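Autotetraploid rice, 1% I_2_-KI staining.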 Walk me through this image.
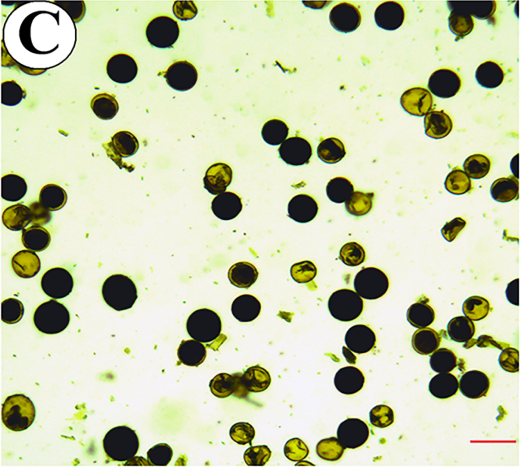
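Some are round and stained evenly dark, while many others are pale yellow-brown, with only a thin outline or patchy brown contents, and are often shrunken, folded or irregular in shape. Small fragments of debris lie scattered among the grains.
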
